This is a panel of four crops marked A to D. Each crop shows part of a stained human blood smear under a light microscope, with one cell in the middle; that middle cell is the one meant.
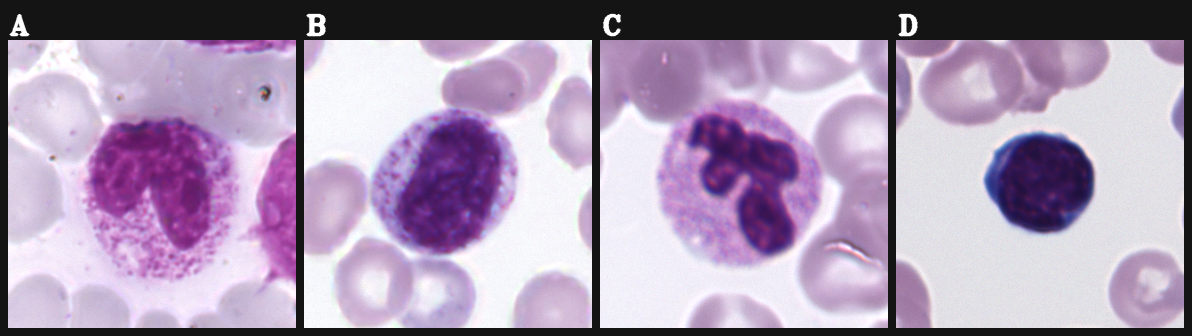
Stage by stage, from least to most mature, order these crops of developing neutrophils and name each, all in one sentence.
From least to most mature, the cells come in the order crop D (a blast), crop B (a metamyelocyte), crop A (a band neutrophil) and crop C (a segmented neutrophil).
